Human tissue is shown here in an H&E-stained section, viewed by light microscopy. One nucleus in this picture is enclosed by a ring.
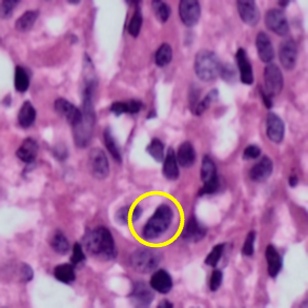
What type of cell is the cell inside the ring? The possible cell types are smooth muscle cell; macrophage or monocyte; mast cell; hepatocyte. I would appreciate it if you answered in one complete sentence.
The classification of the cell inside the ring is as a macrophage or monocyte.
